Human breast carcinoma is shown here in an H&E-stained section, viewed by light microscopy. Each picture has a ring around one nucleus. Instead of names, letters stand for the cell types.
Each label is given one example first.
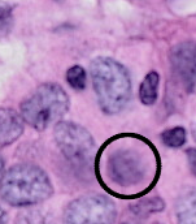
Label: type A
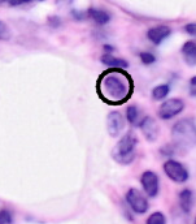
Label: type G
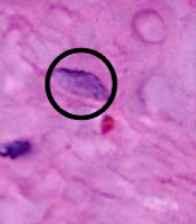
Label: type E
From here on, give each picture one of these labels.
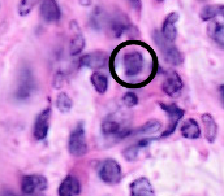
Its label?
type G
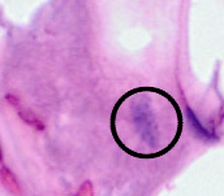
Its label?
type E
